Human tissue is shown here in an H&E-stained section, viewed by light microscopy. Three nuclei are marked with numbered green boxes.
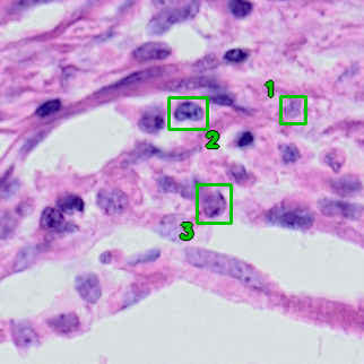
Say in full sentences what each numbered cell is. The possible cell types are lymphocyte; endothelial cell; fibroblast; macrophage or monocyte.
Cell 1 is a fibroblast. Cell 2 is a lymphocyte. Cell 3 is a macrophage or monocyte.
